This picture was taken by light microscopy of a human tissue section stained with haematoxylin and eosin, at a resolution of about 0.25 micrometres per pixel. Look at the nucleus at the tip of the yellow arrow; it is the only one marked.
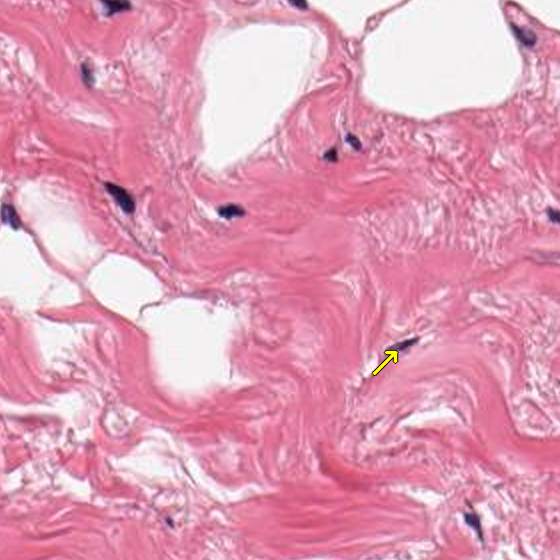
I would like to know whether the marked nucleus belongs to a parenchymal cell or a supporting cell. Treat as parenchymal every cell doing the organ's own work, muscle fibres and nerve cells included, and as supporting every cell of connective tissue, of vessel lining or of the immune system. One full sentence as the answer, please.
It is a supporting cell to which the marked nucleus belongs.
